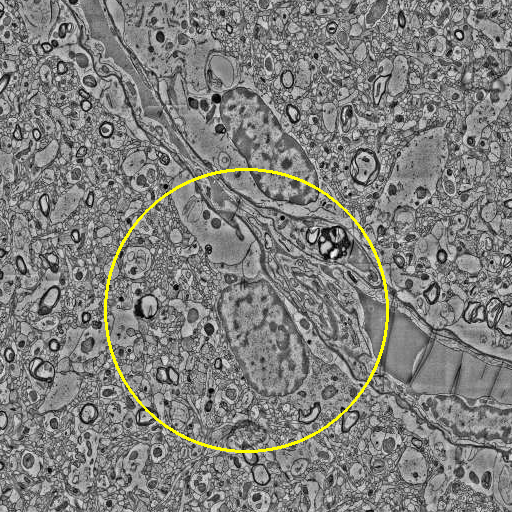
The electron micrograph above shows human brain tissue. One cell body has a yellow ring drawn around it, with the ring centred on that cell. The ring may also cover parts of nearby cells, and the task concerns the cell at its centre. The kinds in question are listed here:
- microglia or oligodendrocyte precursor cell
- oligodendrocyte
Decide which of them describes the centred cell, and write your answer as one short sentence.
The centred cell is an oligodendrocyte.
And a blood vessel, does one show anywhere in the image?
Yes, a vessel shows somewhere in the image.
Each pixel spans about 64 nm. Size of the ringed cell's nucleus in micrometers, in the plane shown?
Approximately 8 by 5 micrometers, which makes the nucleus clearly longer than it is wide in this plane.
